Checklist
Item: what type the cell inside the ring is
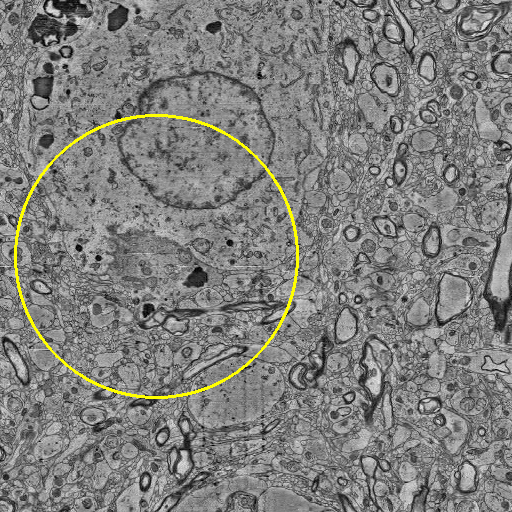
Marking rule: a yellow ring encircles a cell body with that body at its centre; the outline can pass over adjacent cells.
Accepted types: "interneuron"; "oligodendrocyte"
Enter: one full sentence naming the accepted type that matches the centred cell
The entry is that an oligodendrocyte lies at the centre of the yellow ring.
